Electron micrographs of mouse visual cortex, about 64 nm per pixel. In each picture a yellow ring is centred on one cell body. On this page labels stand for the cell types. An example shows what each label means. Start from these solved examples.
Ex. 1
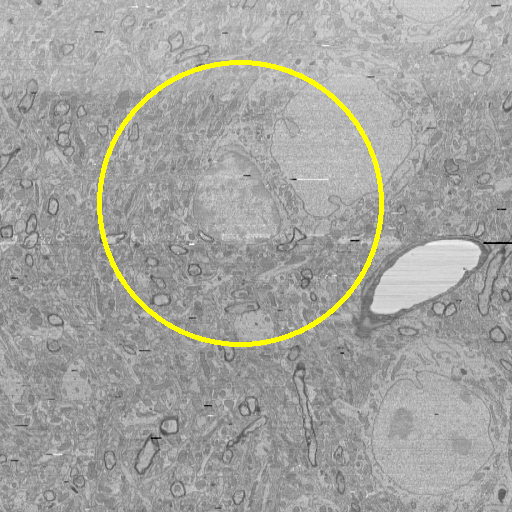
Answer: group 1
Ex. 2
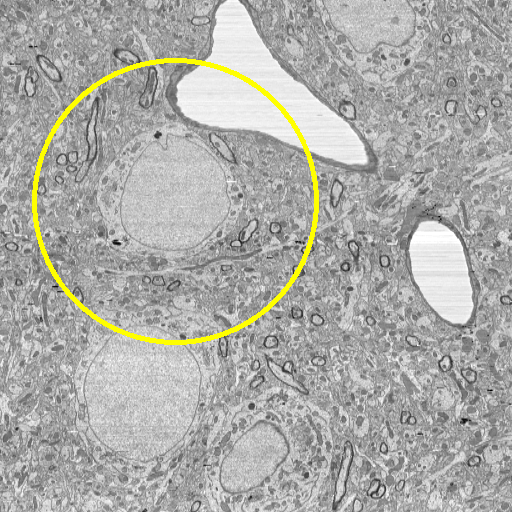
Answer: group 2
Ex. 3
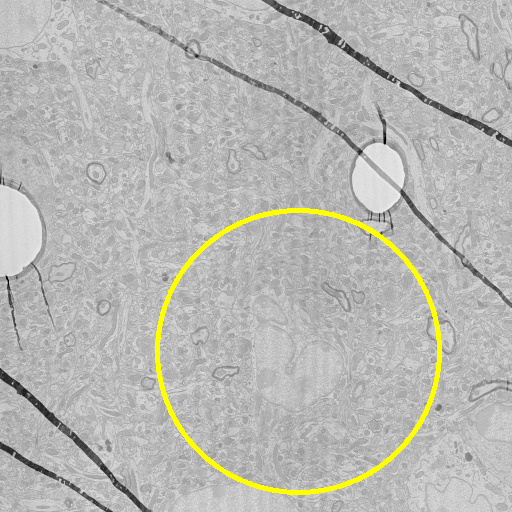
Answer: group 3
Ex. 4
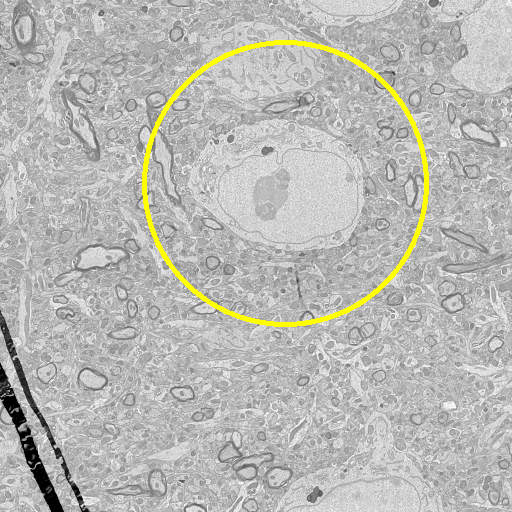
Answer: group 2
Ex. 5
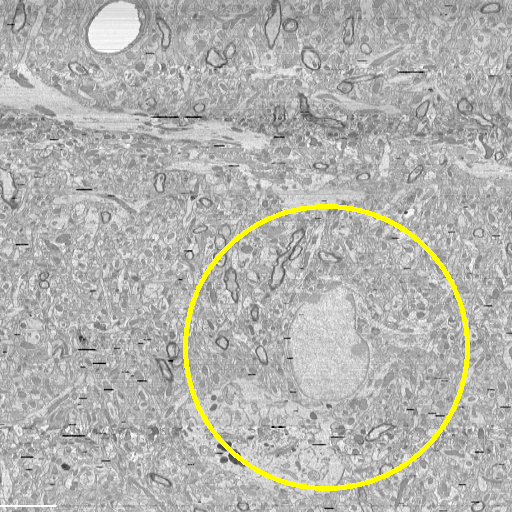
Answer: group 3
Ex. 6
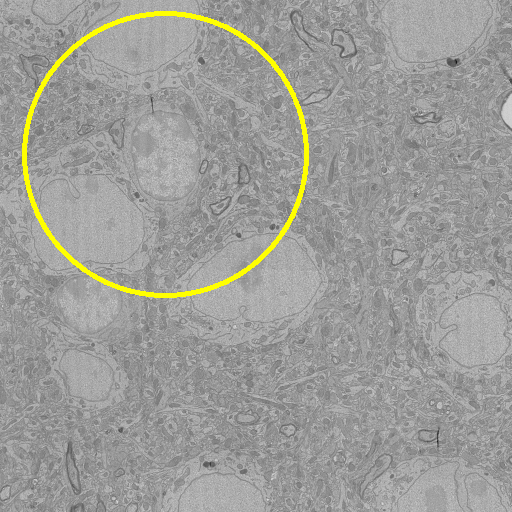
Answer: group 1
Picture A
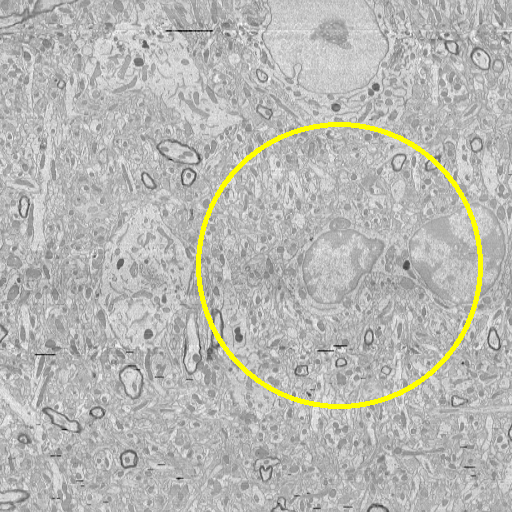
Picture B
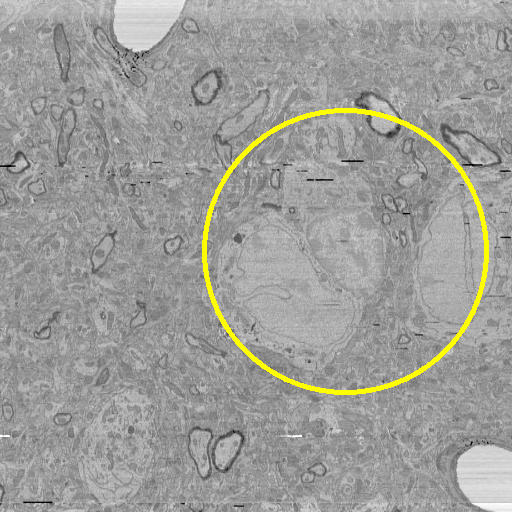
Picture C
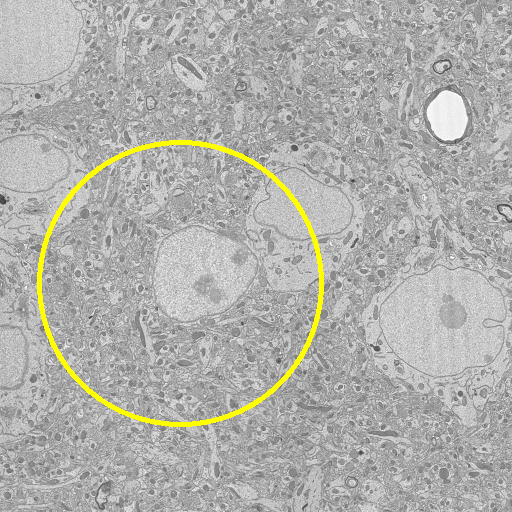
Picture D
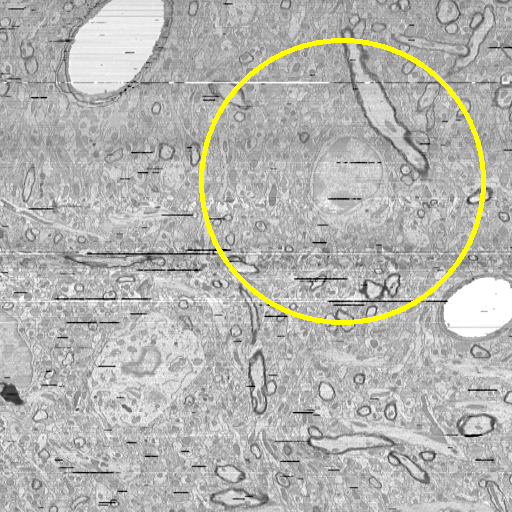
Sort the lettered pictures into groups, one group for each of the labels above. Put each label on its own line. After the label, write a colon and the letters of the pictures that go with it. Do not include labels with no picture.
group 1: A, B, D
group 3: C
